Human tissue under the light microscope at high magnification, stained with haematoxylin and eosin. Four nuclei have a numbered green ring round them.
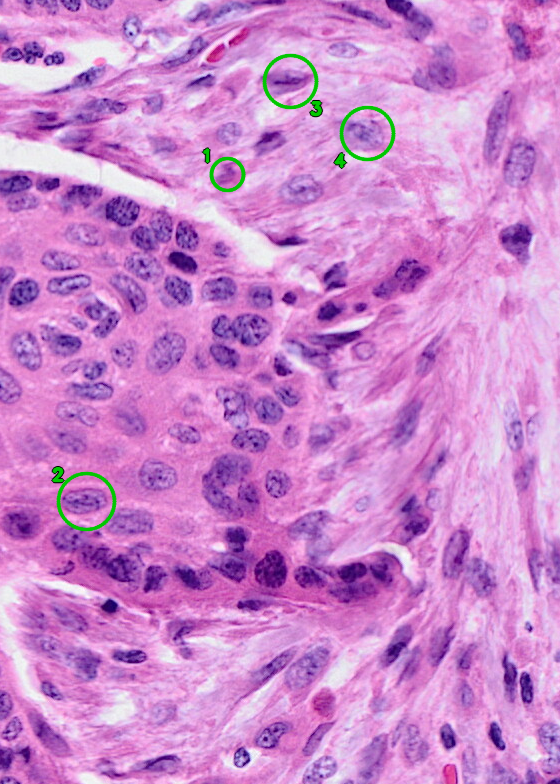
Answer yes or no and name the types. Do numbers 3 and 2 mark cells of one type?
No, the cell at number 3 is a fibroblast, and the cell at number 2 is a squamous carcinoma cell.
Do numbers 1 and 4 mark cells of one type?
Yes, it is true that cells 1 and 4 are both fibroblasts.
